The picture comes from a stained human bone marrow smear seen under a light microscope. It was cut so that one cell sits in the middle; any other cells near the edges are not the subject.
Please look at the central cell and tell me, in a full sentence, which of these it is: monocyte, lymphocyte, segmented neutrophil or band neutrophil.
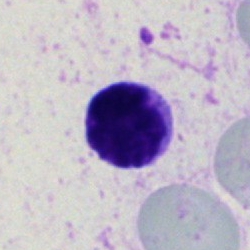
The central element of this crop is a cell, namely a lymphocyte.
